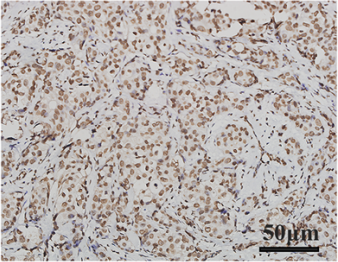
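The field is crowded with tumour cells. They form irregular sheets, cords and small clusters that infiltrate the stroma, and no rounded duct outlines are kept. Most tumour cells have round to oval nuclei that are stained brown, and the cytoplasm around them is lighter. Thin, pale strands of fibrous stroma run between the groups of cells. Elongated, darker stromal cells lie along these strands. The tumour cells are packed densely and spread haphazardly through the tissue.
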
